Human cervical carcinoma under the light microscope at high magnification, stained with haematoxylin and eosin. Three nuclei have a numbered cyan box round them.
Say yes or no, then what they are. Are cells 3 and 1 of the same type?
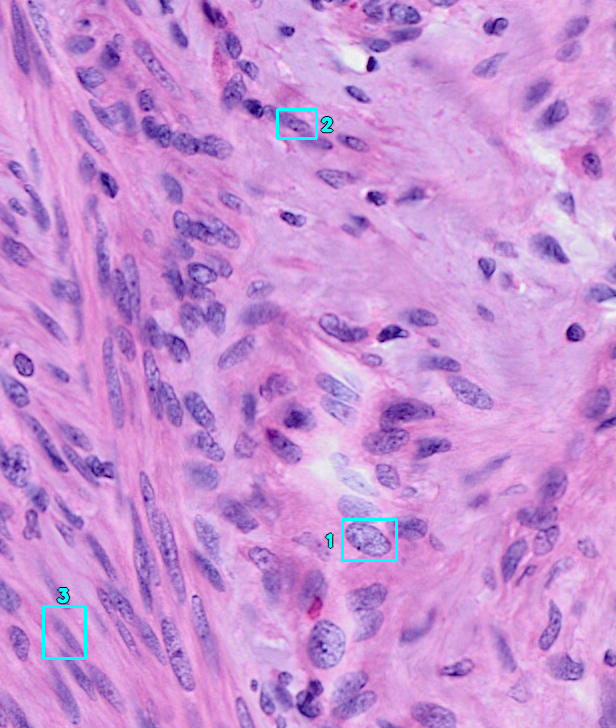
No, cell 3 is a smooth muscle cell and cell 1 is an endothelial cell.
